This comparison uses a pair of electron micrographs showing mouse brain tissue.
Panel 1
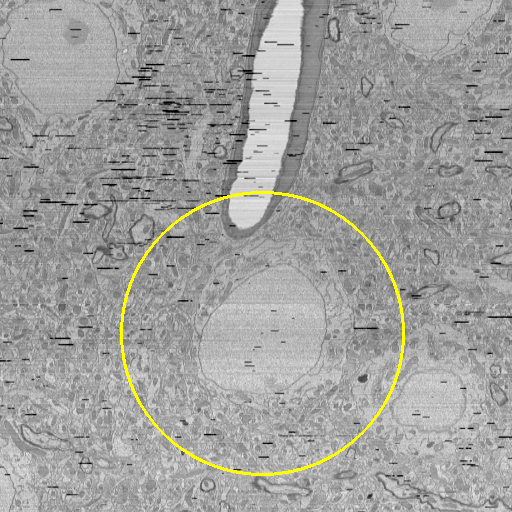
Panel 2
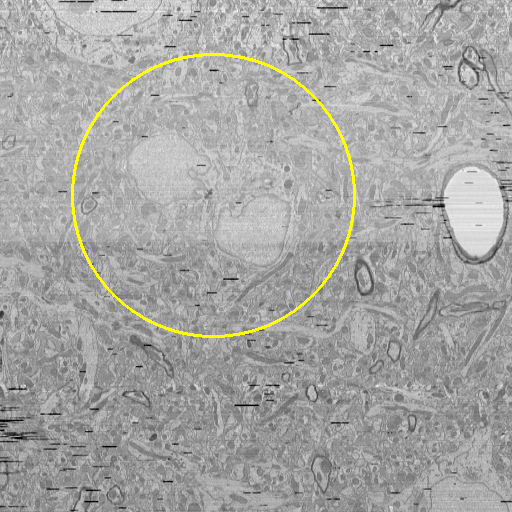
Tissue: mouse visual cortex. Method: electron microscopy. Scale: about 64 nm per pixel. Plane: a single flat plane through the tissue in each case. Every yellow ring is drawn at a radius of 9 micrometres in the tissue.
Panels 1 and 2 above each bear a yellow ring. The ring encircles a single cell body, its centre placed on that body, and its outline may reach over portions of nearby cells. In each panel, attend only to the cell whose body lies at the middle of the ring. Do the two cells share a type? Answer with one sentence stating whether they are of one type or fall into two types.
In Panel 1 and Panel 2, the cells at the centres of the rings fall into two types.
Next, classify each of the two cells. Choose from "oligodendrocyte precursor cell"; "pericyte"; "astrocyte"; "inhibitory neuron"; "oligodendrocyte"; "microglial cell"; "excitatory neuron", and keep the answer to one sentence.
In the first picture it is an excitatory neuron; in the second it is an oligodendrocyte precursor cell.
